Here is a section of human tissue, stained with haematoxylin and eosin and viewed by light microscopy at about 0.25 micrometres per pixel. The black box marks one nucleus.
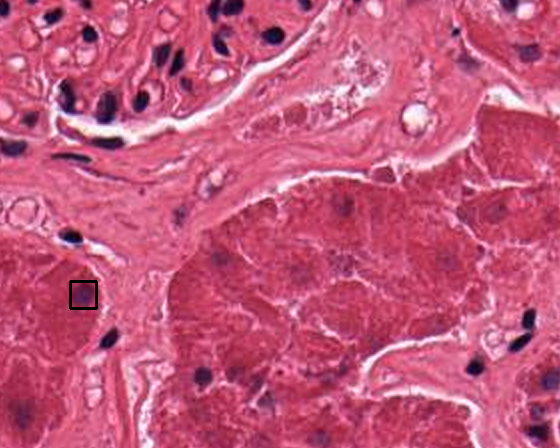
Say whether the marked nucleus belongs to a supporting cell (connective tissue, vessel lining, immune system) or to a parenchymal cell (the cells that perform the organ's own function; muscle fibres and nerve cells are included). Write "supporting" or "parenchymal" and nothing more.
parenchymal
